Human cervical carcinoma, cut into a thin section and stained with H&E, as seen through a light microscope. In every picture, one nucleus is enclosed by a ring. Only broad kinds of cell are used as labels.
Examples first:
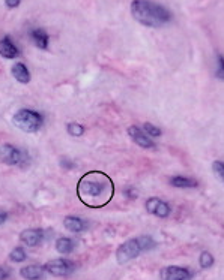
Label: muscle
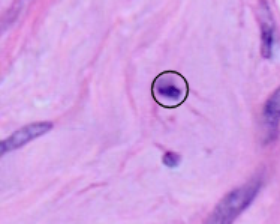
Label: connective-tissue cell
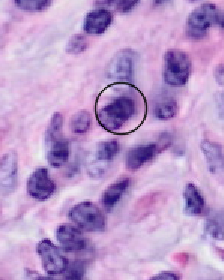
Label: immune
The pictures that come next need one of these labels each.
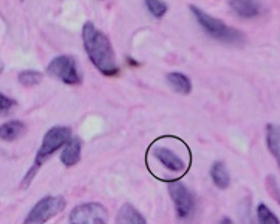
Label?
connective-tissue cell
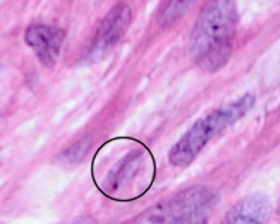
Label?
connective-tissue cell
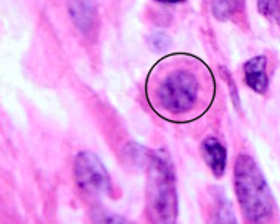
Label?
immune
